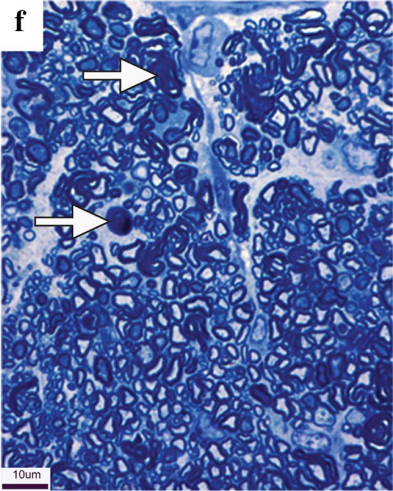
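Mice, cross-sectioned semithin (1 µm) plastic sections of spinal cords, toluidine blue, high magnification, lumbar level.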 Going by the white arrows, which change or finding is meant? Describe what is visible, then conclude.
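One arrow points to a solid, very dark blue round body without a clear axon. The other arrow points to a dense, dark, collapsed irregular profile among normal ring-shaped myelinated axons. On this evidence: degenerated myelin profiles.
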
